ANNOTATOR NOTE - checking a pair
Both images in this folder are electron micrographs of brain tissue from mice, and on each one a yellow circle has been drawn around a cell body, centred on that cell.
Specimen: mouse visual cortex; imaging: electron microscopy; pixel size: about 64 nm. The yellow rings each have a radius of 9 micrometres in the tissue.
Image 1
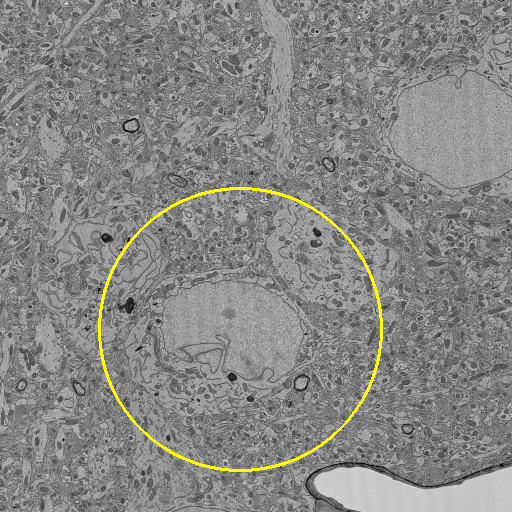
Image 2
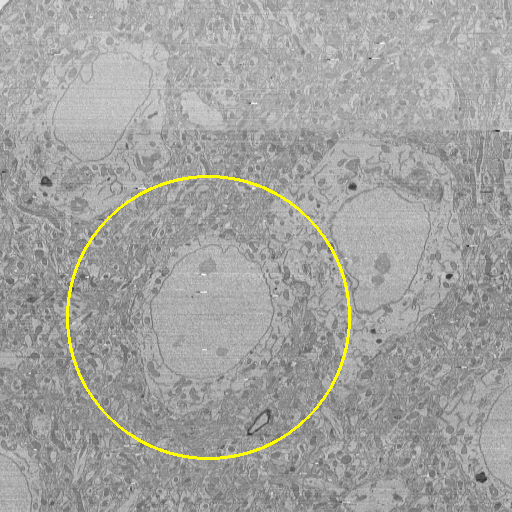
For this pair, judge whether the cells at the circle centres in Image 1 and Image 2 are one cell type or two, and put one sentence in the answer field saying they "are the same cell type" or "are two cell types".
For this pair, the cells at the circle centres in Images 1 and 2 are two cell types.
